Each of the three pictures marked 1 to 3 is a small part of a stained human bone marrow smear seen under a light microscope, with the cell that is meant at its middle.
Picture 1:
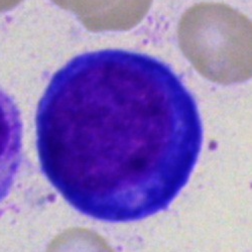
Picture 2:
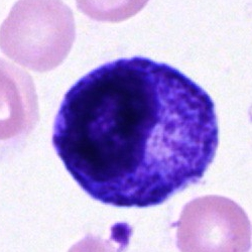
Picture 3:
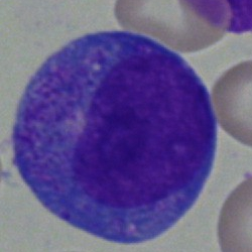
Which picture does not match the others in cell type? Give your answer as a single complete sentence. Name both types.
All pictures except 1 show promyelocytes; picture 1 shows a proerythroblast.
